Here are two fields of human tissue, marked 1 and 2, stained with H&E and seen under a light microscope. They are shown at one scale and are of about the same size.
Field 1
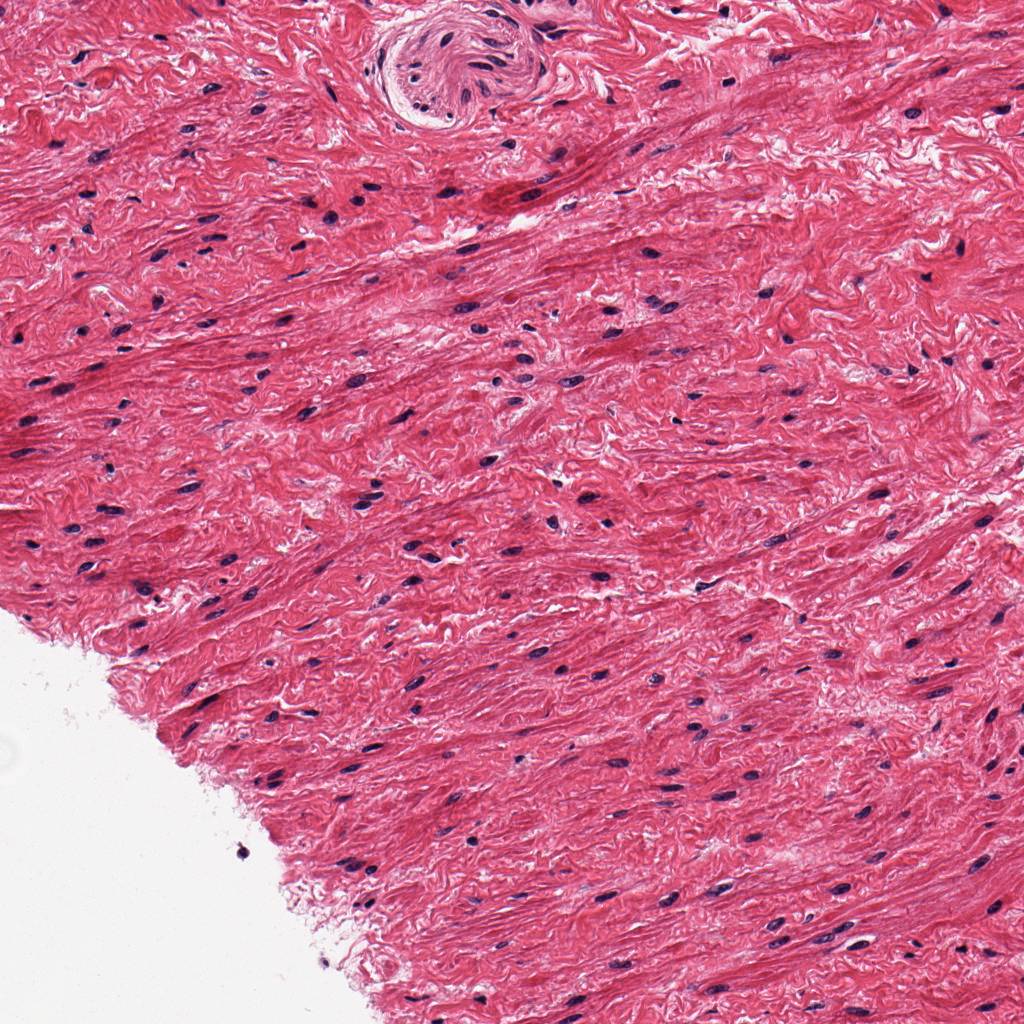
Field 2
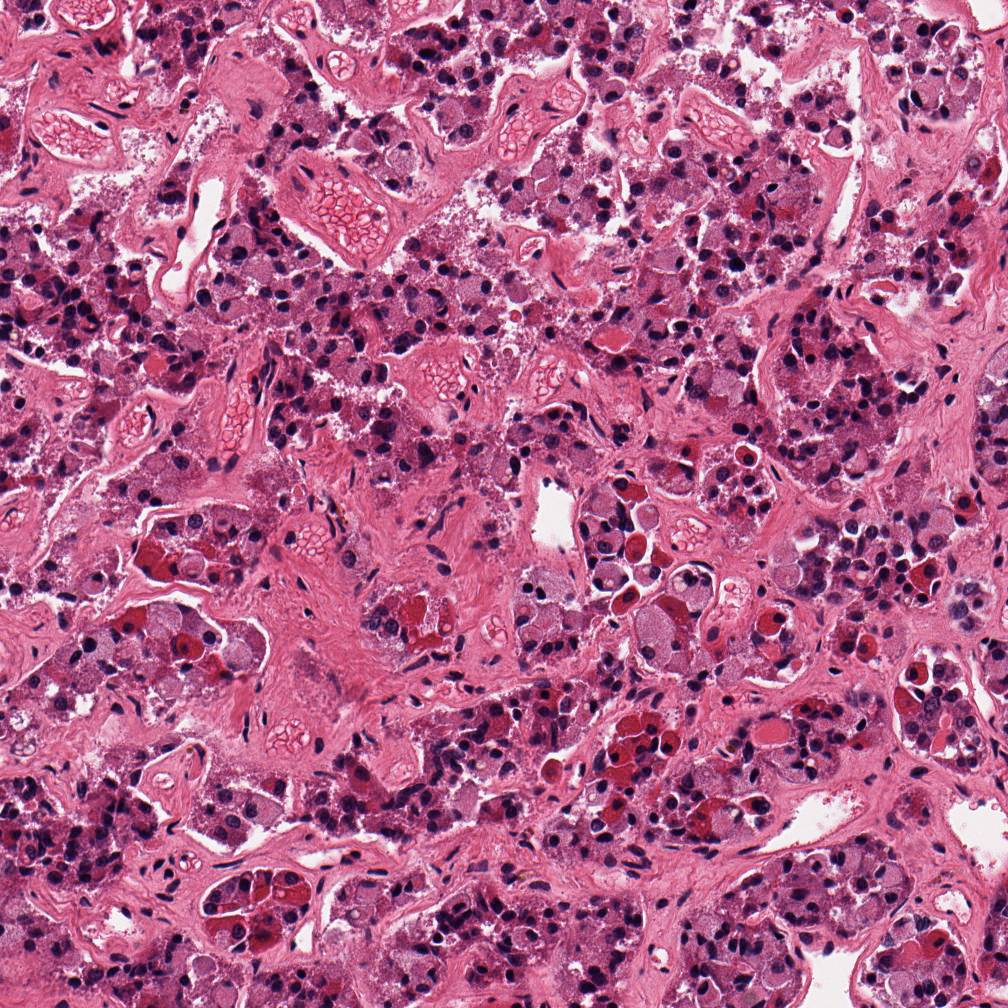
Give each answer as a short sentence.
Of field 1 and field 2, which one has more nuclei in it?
It is field 2 that has more nuclei in it.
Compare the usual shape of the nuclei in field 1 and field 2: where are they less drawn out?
Rounder nuclei lie in field 2.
